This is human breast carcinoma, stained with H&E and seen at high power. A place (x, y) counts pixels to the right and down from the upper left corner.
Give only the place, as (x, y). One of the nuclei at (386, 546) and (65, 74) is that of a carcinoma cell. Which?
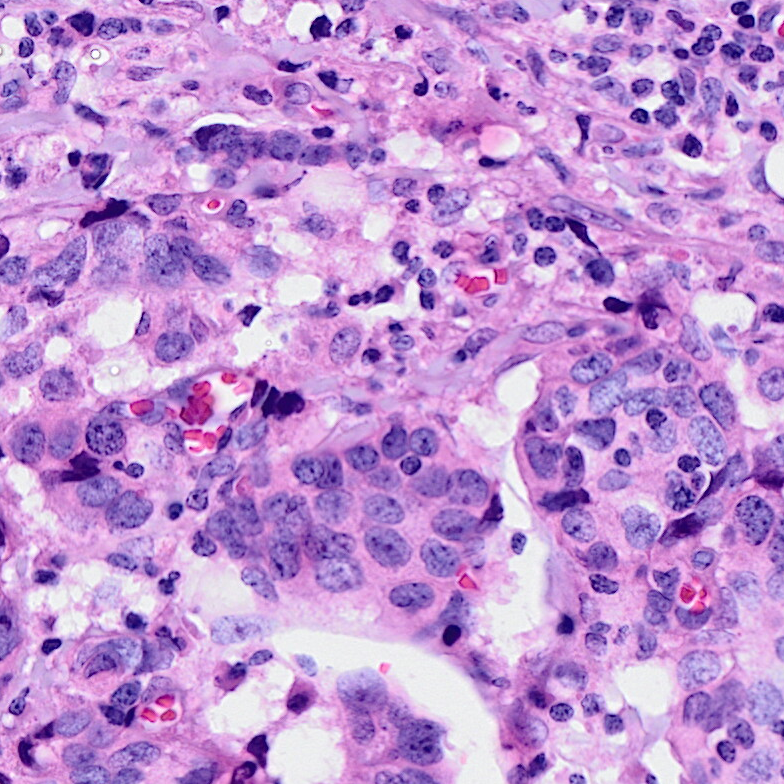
(386, 546)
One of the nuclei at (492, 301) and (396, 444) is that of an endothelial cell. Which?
(492, 301)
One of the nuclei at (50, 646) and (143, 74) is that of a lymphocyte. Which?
(50, 646)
